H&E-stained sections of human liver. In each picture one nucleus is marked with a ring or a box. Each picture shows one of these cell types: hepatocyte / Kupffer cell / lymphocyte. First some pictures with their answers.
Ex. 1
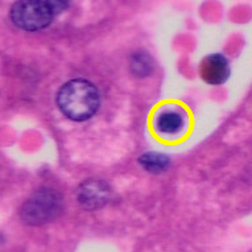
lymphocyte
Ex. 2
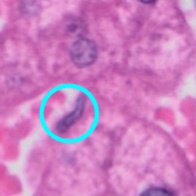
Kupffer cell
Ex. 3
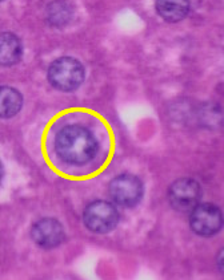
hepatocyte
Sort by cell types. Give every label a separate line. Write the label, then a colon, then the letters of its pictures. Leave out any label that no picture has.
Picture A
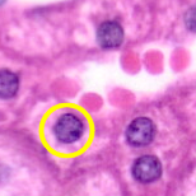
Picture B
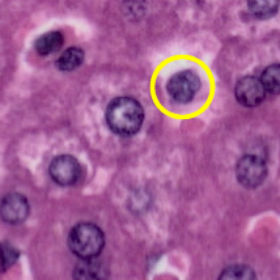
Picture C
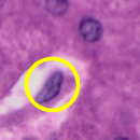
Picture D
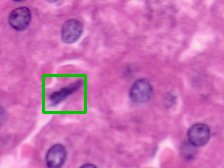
hepatocyte: A
Kupffer cell: B, C, D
